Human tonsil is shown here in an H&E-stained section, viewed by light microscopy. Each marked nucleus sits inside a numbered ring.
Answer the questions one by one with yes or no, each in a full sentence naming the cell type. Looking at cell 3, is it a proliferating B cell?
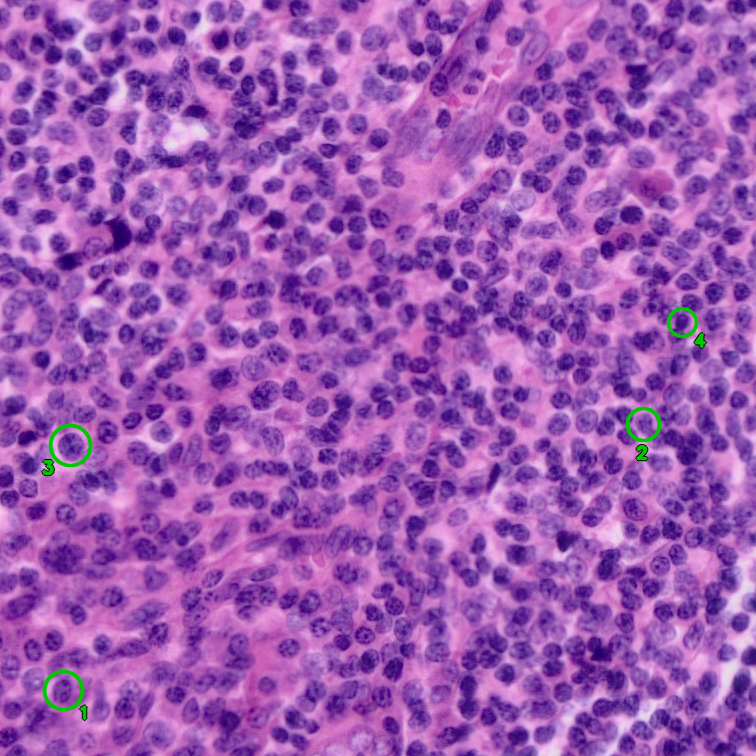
Yes, that is so; number 3 marks a proliferating B cell.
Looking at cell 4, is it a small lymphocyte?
Yes, the marked cell numbered 4 is a small lymphocyte.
